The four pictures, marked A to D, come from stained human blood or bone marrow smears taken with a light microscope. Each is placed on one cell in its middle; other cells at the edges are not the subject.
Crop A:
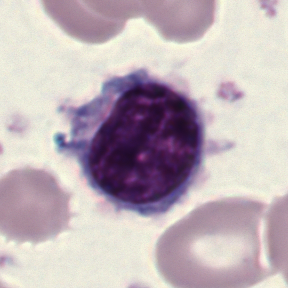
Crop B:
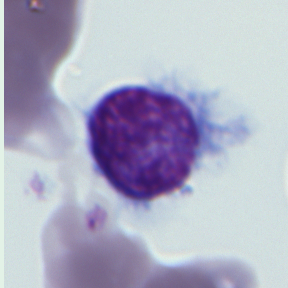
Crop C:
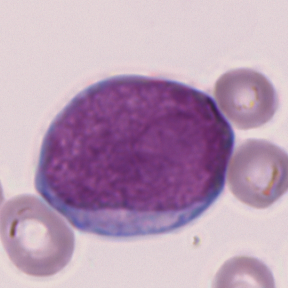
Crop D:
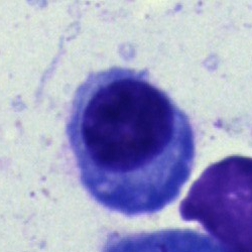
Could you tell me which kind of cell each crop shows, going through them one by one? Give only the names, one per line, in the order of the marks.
plasma cell
hairy cell
blast
plasma cell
